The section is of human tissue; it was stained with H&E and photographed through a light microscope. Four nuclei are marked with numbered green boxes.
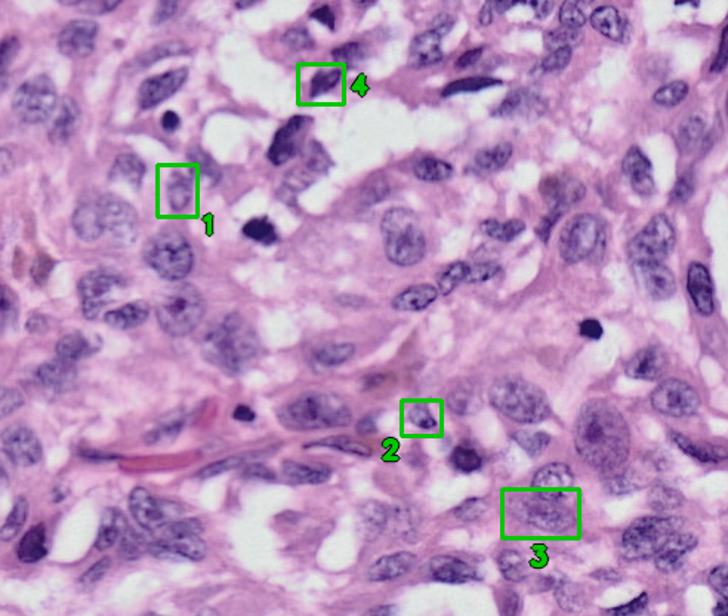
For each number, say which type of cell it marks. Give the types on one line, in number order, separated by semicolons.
melanoma cell; lymphocyte; melanoma cell; melanoma cell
